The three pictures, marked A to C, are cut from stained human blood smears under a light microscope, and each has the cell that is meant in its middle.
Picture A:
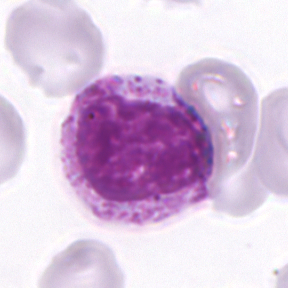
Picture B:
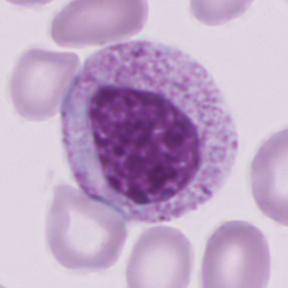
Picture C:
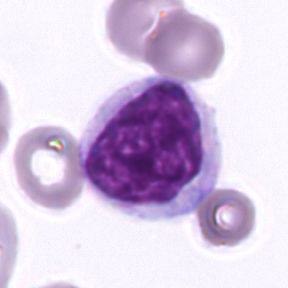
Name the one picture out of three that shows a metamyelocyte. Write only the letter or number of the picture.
C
